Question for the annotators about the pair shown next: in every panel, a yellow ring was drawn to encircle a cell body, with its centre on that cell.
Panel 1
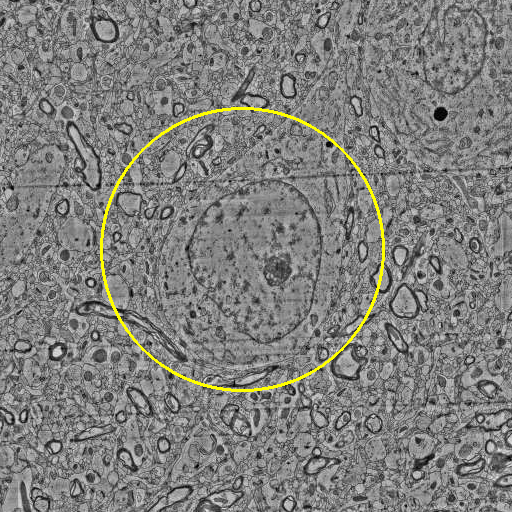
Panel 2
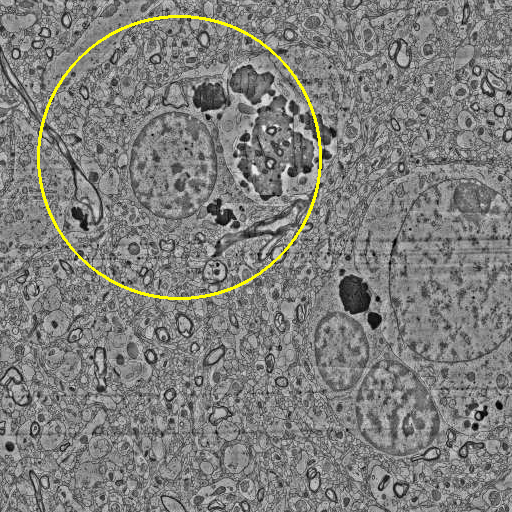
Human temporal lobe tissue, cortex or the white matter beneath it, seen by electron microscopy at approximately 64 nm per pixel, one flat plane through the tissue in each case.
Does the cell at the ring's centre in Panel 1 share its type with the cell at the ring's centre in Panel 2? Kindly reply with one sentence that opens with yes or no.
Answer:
No, in Panels 1 and 2 the cells at the ring centres belong to separate types.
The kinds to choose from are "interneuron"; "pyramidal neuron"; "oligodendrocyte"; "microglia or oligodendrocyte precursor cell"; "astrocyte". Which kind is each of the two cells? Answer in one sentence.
Of the two, the first cell is a pyramidal neuron and the second cell is an oligodendrocyte.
